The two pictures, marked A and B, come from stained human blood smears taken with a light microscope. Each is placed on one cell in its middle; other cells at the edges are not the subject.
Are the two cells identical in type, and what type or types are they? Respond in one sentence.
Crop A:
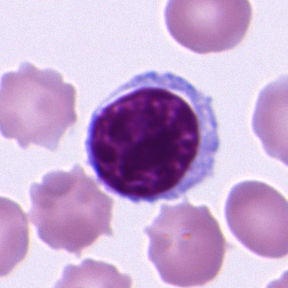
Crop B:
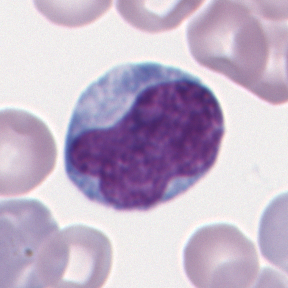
No, crop A is to be identified as a typical lymphocyte and crop B as a myeloblast.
